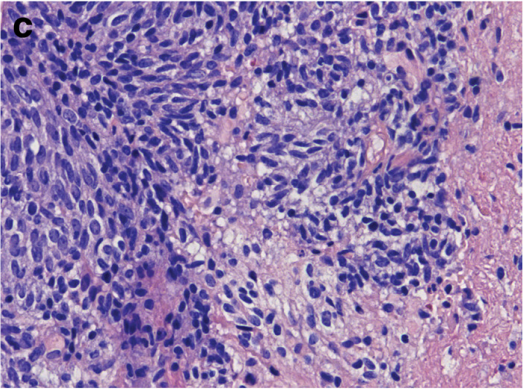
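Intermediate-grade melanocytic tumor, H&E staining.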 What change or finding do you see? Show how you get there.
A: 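At the right, a pale pink fibrillary tissue is infiltrated by scattered dark elongated nuclei. Tumor cells extend from the dense cellular area into the looser pink tissue.
Answer: invasion in glial tissue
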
